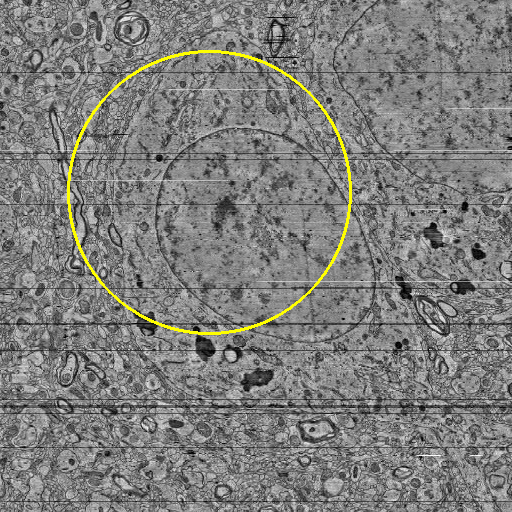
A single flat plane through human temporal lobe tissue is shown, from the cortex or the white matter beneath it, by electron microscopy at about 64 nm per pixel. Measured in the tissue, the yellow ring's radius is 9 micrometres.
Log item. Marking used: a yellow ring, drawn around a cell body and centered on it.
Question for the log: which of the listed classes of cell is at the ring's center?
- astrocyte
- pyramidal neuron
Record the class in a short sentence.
At the center of the ring lies a pyramidal neuron.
